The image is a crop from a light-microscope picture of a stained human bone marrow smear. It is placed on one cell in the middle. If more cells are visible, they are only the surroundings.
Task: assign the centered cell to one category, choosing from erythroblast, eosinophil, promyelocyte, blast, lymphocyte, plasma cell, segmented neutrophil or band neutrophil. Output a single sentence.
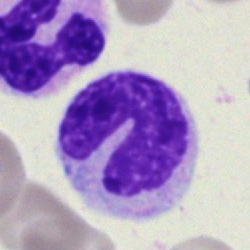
The cell positioned in the middle of the field is a band neutrophil.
